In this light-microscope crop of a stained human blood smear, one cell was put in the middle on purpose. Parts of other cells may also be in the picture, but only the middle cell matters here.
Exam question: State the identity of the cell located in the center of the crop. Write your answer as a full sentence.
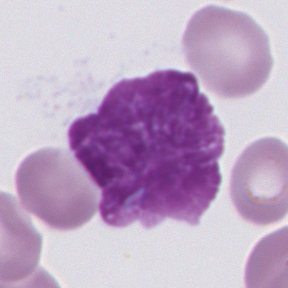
The cell at the centre of the field is a smudge cell.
